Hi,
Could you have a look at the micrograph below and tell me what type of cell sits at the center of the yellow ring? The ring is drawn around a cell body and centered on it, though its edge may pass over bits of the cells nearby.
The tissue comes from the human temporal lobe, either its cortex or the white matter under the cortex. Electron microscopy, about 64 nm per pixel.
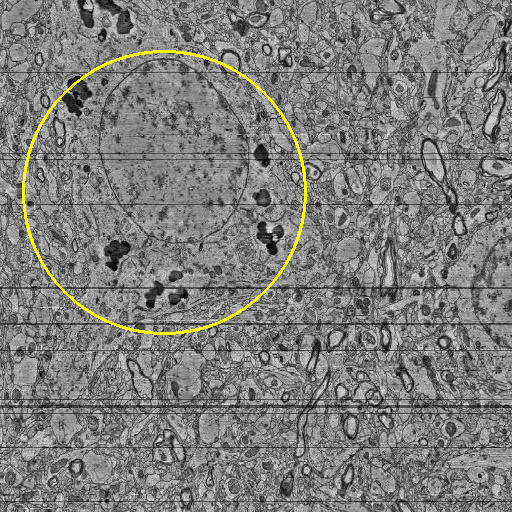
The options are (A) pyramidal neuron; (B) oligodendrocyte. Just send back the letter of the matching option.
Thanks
A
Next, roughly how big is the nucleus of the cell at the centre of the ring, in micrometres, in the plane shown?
The ringed cell's nucleus is about 12 micrometres long and 9 micrometres wide in this plane.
